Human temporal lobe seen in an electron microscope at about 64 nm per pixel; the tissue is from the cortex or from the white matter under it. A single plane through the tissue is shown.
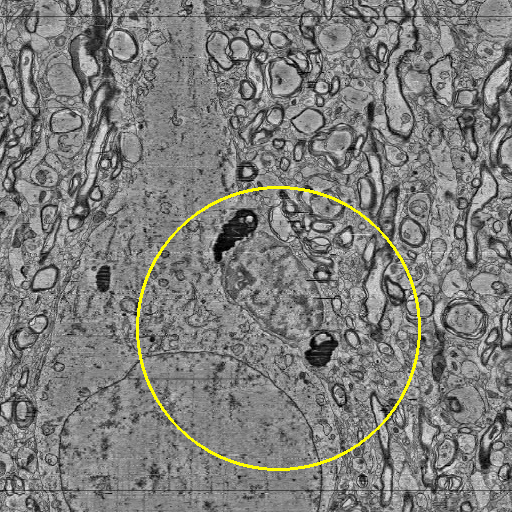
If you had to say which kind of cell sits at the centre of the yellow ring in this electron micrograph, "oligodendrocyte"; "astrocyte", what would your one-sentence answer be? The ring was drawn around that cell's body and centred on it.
The cell sitting at the centre of the ring is an oligodendrocyte.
